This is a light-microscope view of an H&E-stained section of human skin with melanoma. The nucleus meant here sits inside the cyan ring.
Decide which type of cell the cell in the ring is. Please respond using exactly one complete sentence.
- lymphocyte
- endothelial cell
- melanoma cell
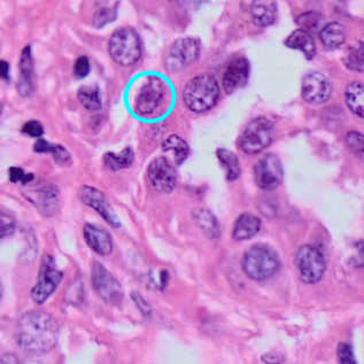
In the context of this tissue, the cell in the ring is a melanoma cell.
